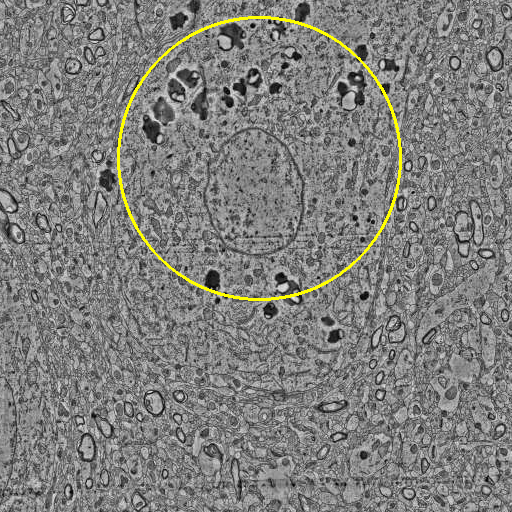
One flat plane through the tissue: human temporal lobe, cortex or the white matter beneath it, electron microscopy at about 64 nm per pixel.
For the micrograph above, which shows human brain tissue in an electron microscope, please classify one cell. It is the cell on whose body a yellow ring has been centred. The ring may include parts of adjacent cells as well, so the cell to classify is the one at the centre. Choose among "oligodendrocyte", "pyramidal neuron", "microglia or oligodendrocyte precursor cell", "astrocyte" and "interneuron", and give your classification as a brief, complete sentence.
I classify this cell as a pyramidal neuron.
